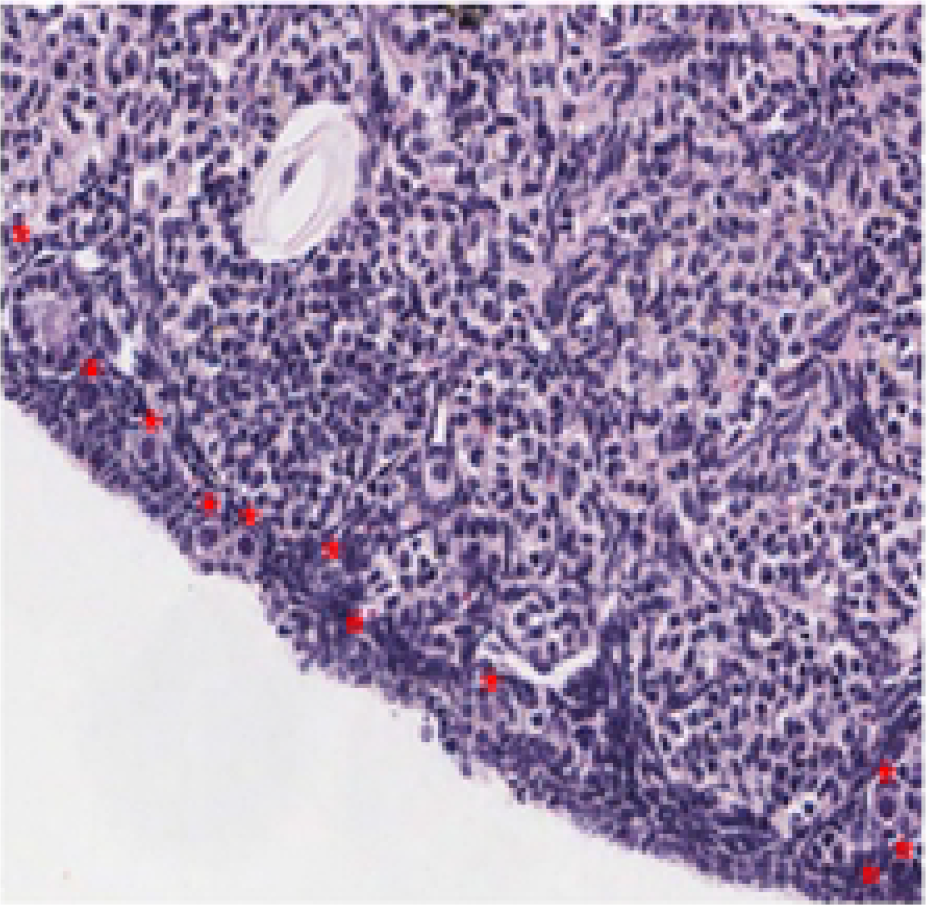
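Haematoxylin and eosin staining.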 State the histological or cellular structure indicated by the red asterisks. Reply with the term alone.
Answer: Primordial follicles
